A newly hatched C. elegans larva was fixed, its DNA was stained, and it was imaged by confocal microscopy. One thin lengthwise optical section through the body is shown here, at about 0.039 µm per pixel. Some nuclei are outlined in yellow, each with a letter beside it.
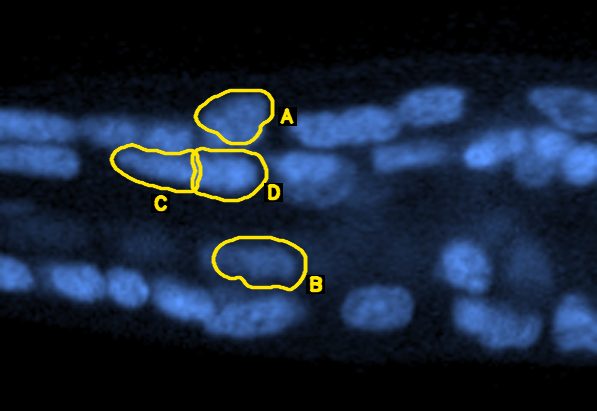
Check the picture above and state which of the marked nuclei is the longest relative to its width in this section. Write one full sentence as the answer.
C is the most elongated in this section.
